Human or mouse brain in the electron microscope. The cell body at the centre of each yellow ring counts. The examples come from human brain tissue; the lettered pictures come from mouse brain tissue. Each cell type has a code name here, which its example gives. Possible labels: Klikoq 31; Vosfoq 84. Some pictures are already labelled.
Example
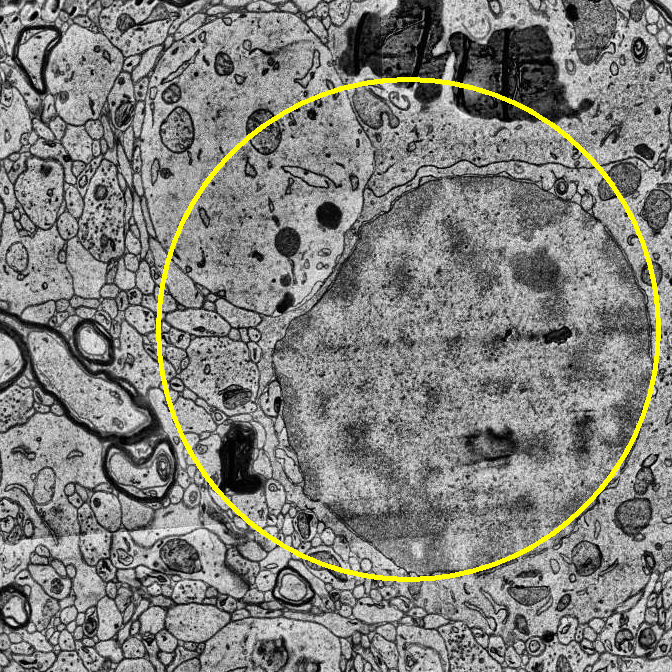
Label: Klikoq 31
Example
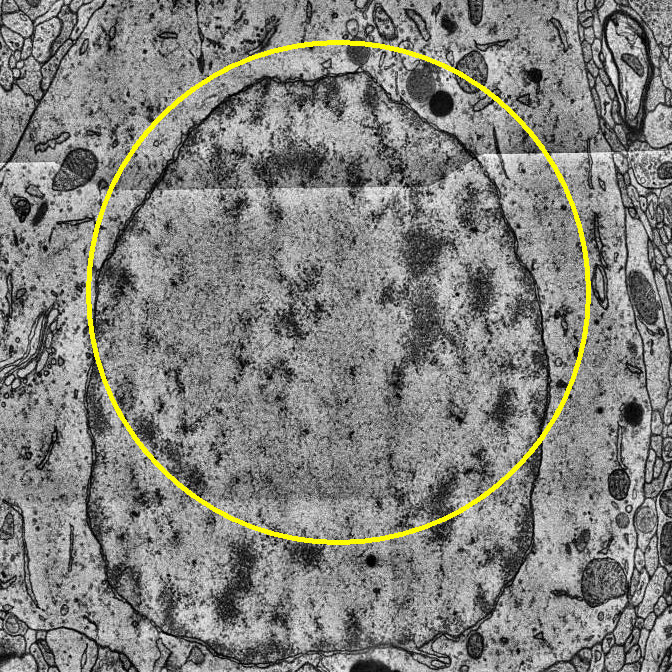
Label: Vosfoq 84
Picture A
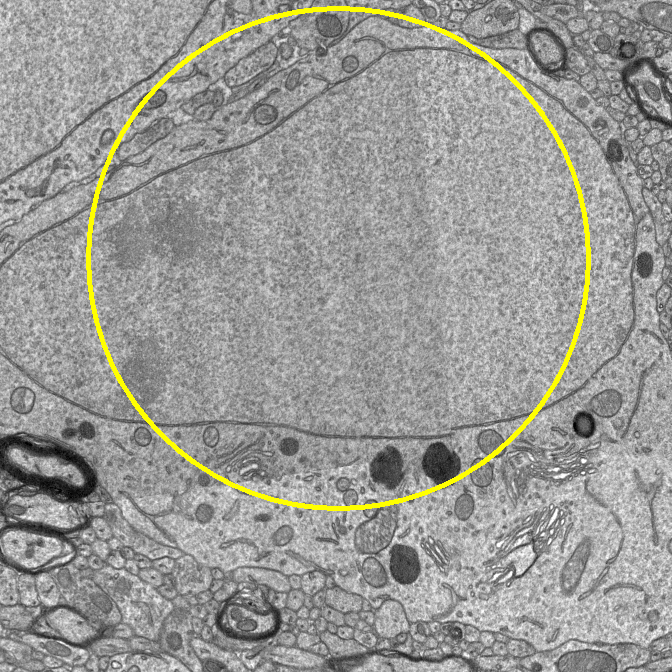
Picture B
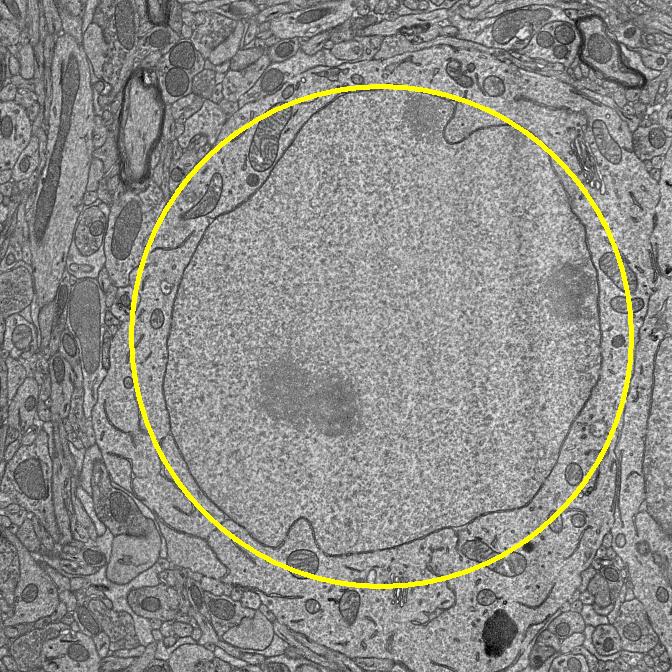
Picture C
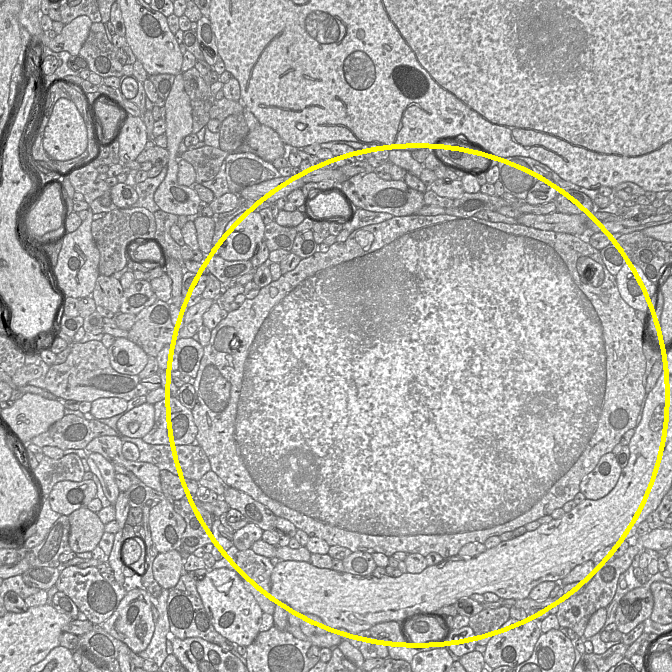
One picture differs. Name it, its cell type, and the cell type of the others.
Picture C: Klikoq 31. All others: Vosfoq 84.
